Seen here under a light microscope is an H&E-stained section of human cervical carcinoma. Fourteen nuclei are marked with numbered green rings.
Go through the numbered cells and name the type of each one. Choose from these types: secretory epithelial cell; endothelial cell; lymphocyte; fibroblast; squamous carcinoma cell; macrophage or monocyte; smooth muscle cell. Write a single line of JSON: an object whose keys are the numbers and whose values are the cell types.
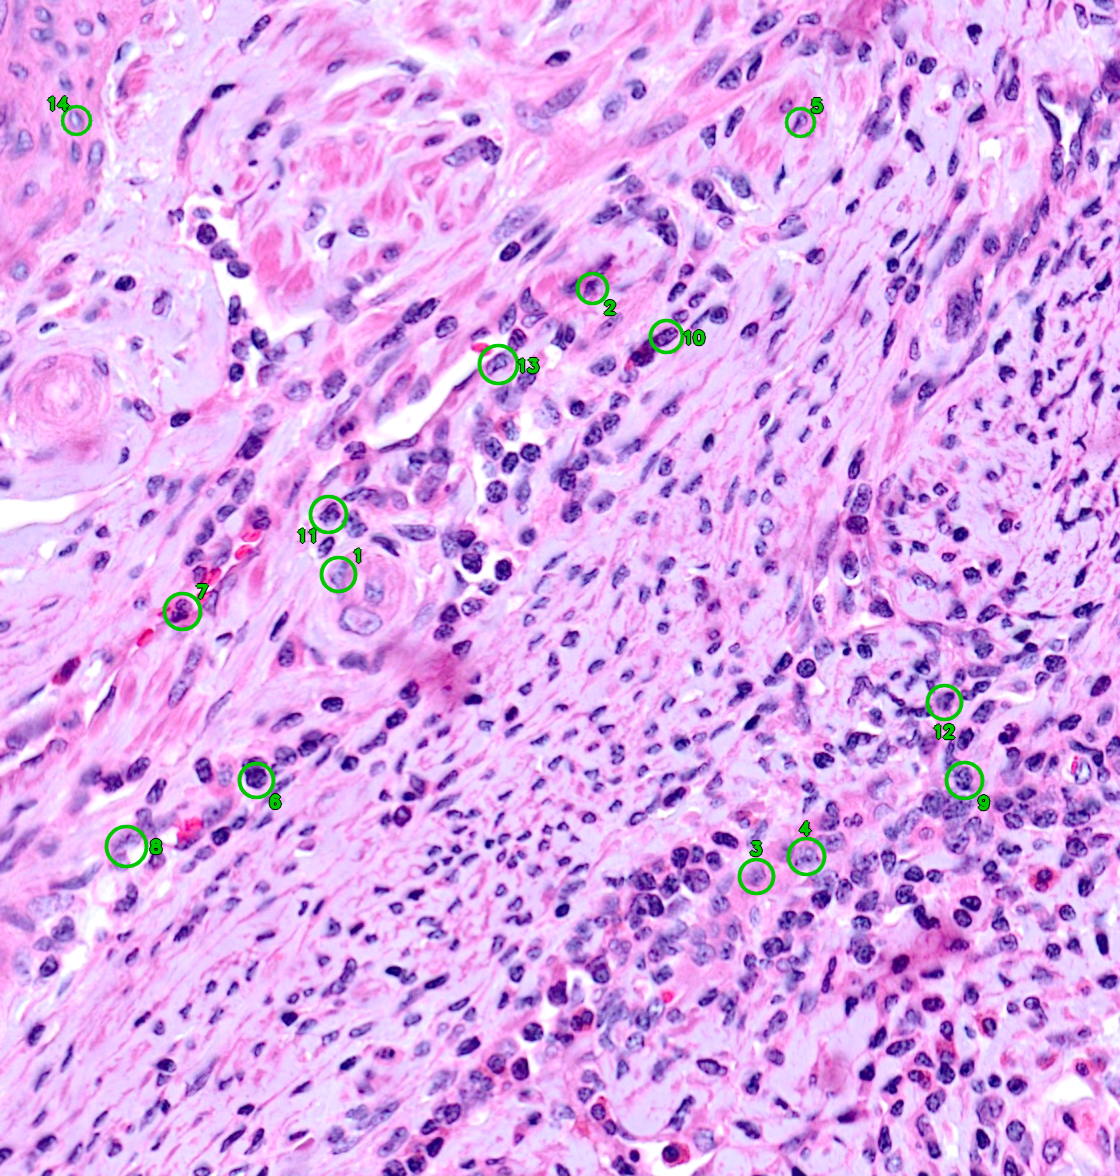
{"1": "smooth muscle cell", "2": "endothelial cell", "3": "endothelial cell", "4": "endothelial cell", "5": "smooth muscle cell", "6": "lymphocyte", "7": "endothelial cell", "8": "endothelial cell", "9": "lymphocyte", "10": "lymphocyte", "11": "lymphocyte", "12": "lymphocyte", "13": "endothelial cell", "14": "smooth muscle cell"}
